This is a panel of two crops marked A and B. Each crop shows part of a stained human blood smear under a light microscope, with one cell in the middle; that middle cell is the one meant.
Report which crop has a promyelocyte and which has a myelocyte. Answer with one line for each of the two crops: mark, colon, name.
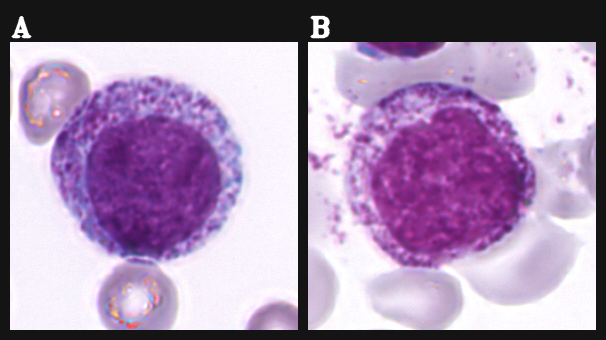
A: promyelocyte
B: myelocyte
